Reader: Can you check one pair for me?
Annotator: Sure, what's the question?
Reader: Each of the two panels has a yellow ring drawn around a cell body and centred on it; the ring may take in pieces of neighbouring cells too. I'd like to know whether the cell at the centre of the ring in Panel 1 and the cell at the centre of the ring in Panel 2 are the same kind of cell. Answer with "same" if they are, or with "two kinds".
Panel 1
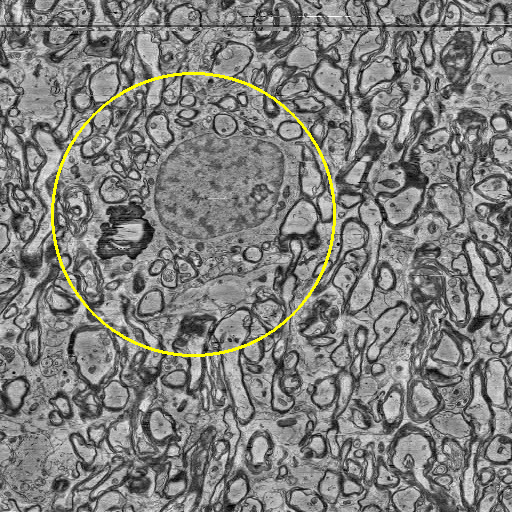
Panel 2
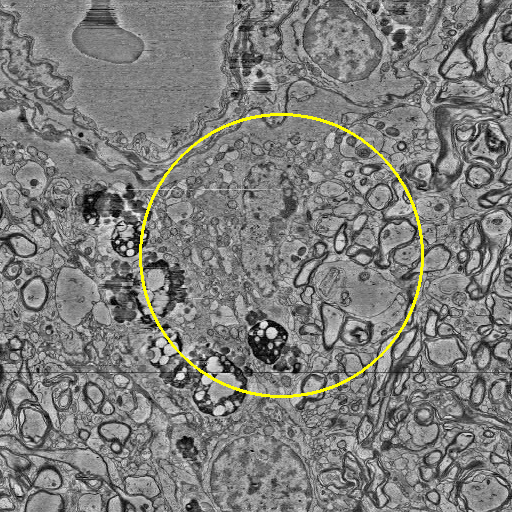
two kinds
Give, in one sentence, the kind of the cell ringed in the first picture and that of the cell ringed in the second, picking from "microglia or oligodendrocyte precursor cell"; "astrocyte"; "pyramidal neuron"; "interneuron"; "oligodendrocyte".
For the first picture it is an oligodendrocyte; for the second, an astrocyte.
